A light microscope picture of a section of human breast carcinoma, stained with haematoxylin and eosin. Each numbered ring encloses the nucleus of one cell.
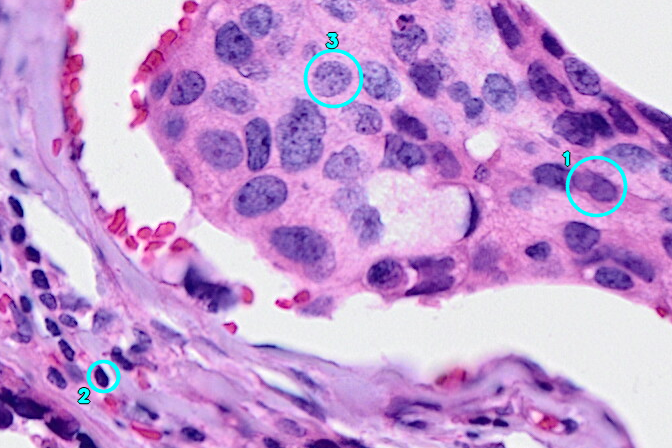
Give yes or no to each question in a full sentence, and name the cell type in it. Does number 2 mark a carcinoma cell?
No, it is not a carcinoma cell that bears number 2 but a lymphocyte.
